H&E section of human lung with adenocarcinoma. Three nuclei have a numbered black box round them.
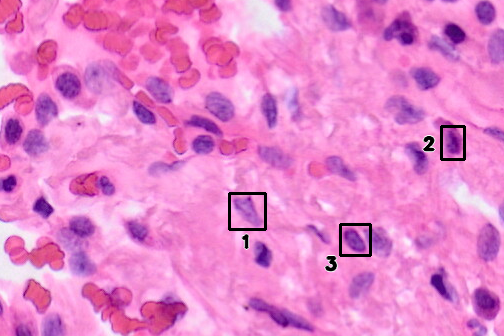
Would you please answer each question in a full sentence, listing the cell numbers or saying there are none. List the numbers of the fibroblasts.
Cell 1, and no other numbered cell, is a fibroblast.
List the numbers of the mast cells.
The numbered cell that is a mast cell is cell 3, and it is the only one.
